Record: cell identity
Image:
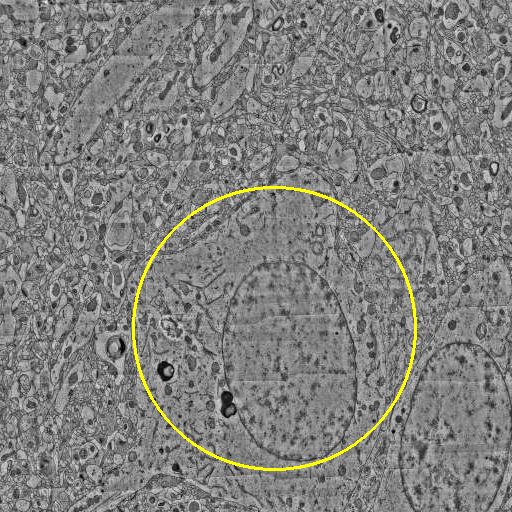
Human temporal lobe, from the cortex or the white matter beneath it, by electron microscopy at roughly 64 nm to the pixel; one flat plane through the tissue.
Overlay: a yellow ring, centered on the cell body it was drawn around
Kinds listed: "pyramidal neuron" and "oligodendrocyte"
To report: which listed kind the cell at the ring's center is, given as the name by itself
pyramidal neuron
